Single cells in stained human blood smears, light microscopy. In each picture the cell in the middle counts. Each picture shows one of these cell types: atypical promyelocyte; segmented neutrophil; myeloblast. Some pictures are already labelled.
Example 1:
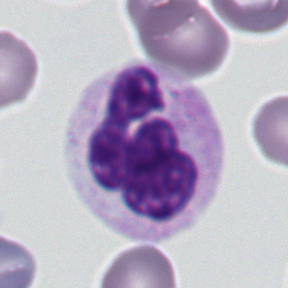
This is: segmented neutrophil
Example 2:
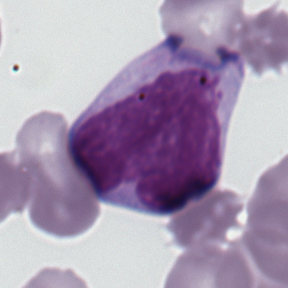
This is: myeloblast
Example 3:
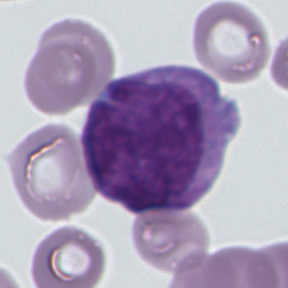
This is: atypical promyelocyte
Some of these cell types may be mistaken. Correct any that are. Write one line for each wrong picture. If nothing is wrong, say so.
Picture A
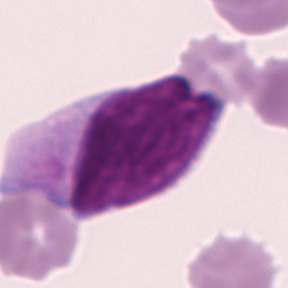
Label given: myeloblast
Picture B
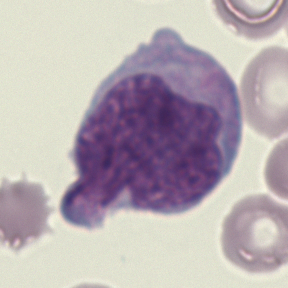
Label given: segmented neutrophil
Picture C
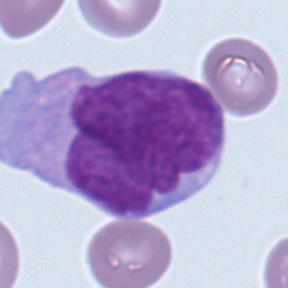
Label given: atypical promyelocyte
B: atypical promyelocyte, not segmented neutrophil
